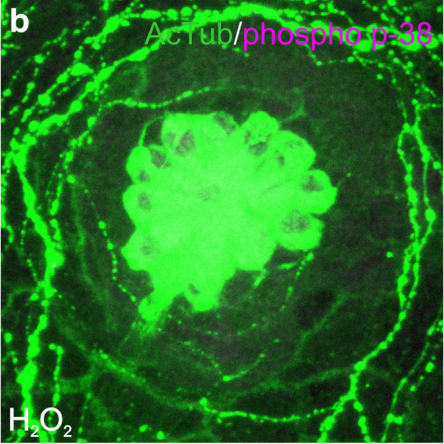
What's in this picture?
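A lateral line neuromast seen from above, with a central rosette of hair cells brightly labelled in green. The hair cells are rounded to pear-shaped, closely packed, and their individual outlines are visible as a ring of bulging cell bodies around a denser bright centre. Around the neuromast, thin beaded green fibres run in curved, roughly concentric paths, some thicker and strongly varicose, encircling the organ. Fainter green outlines of surrounding flat cells form a polygonal pattern in the darker background.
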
